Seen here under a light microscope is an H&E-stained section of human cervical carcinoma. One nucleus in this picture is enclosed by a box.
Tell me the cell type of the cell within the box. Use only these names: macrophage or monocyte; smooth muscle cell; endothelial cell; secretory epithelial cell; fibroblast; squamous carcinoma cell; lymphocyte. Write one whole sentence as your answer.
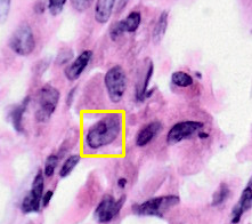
This is a macrophage or monocyte.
